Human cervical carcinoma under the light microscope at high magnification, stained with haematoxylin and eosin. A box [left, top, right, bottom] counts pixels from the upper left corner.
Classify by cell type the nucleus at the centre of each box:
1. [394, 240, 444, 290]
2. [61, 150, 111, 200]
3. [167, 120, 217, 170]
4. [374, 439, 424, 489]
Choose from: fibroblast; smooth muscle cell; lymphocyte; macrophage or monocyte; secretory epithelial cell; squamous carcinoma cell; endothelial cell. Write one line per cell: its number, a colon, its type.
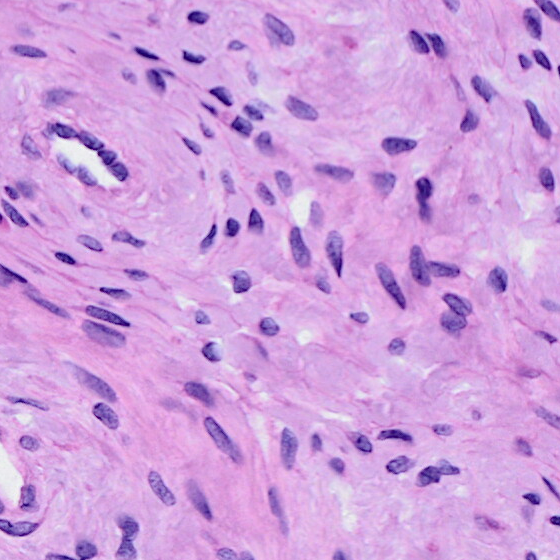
1: fibroblast
2: endothelial cell
3: fibroblast
4: fibroblast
